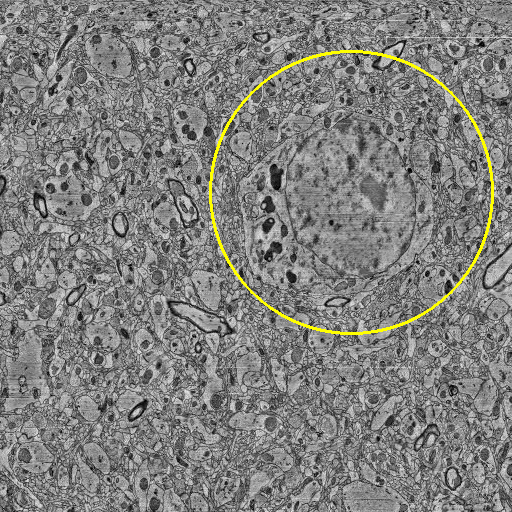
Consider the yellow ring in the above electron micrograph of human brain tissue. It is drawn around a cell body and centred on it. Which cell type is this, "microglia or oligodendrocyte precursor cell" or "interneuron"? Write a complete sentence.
The cell in question is an interneuron.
